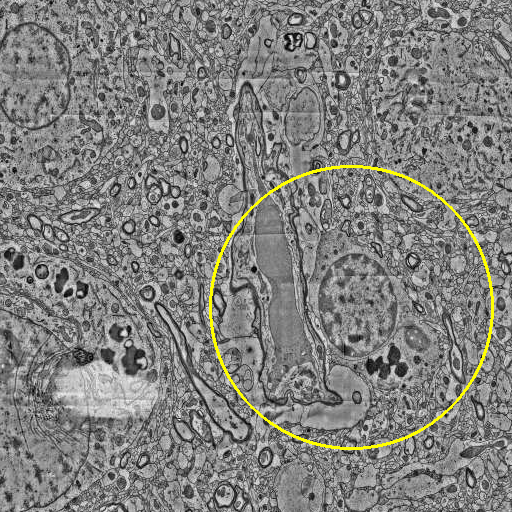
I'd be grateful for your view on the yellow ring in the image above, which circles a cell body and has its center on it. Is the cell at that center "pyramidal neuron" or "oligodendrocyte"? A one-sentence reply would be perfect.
The cell at the center of the yellow ring is an oligodendrocyte.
